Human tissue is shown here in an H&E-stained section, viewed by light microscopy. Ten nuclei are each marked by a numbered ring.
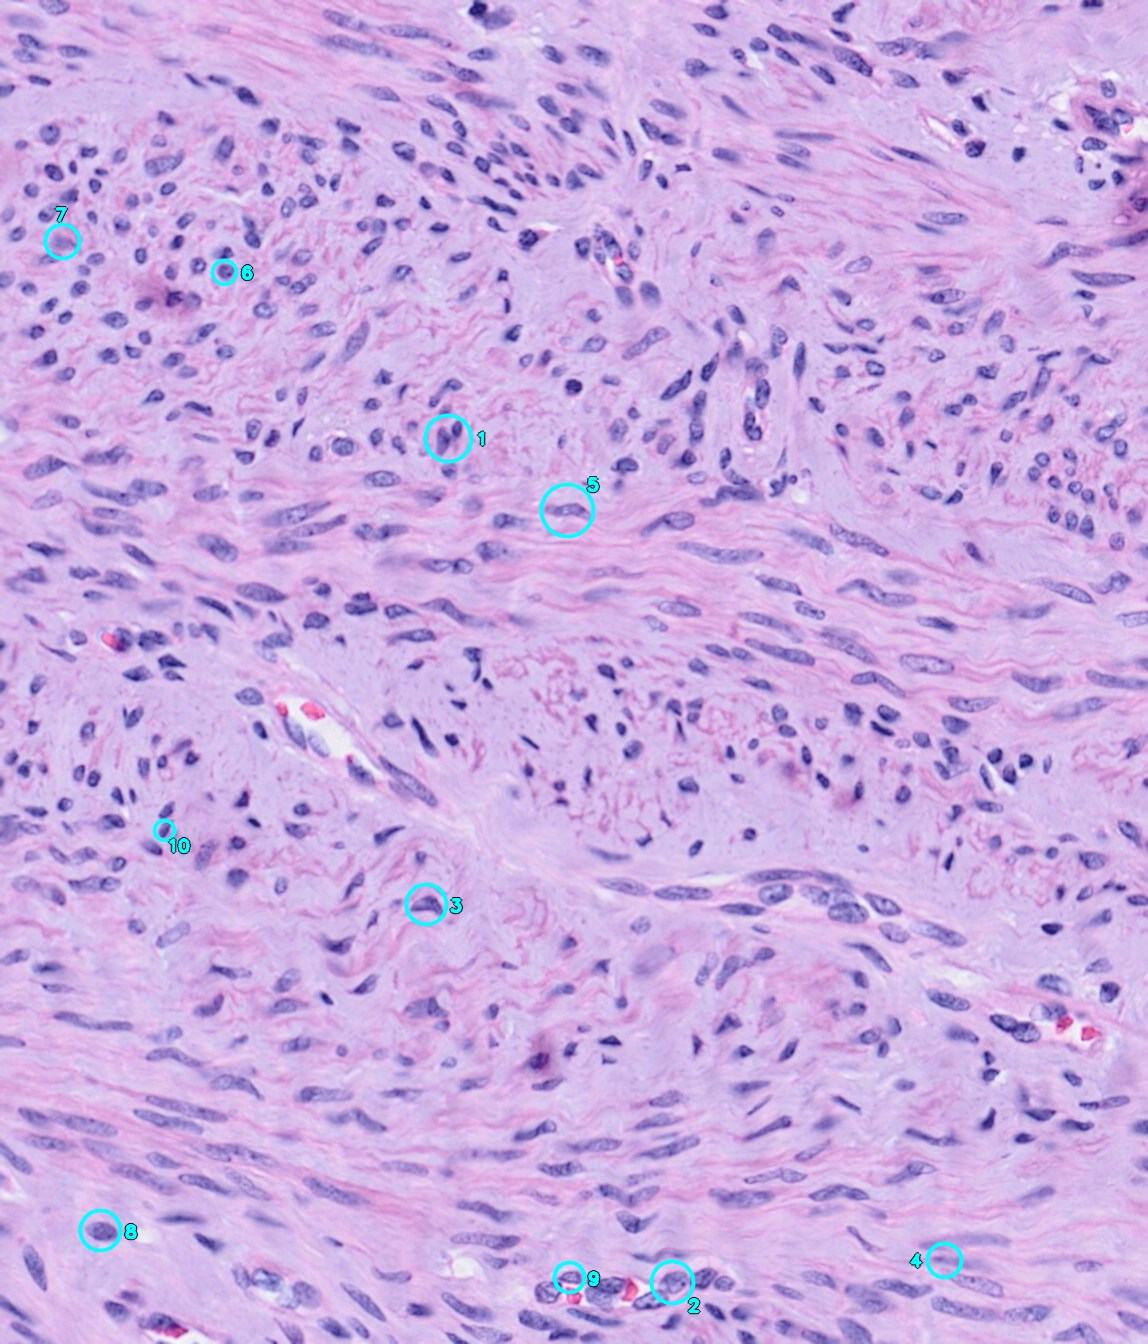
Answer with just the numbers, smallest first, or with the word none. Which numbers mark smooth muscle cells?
1, 3, 4, 5, 6, 7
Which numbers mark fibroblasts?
8, 10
